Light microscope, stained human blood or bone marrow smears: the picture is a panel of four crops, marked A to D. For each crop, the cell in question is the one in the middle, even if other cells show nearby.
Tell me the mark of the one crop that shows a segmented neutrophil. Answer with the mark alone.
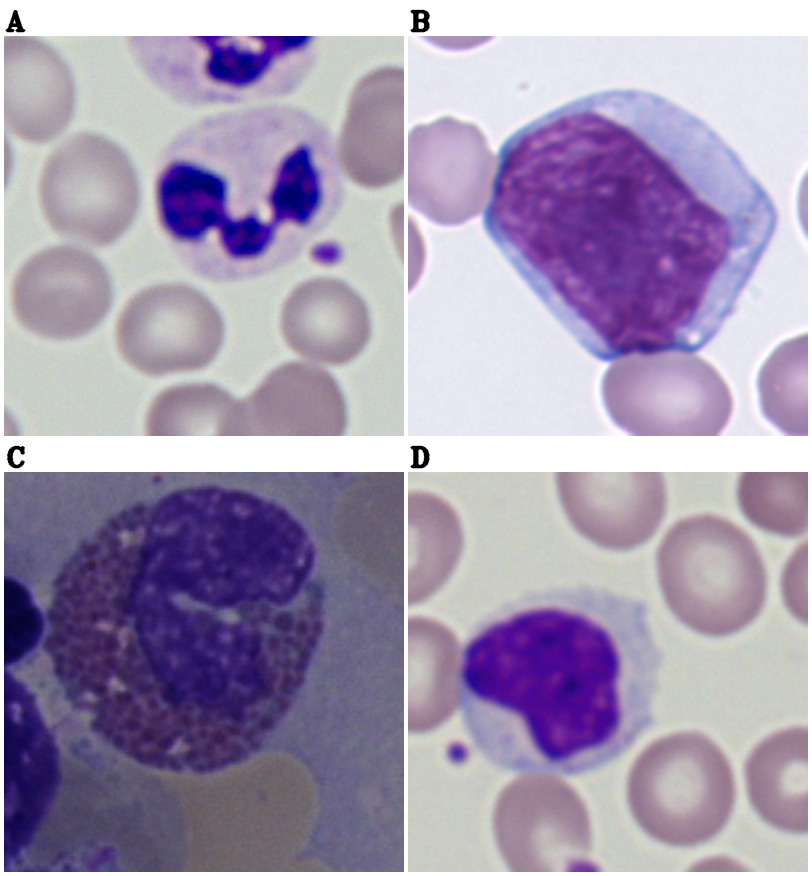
A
